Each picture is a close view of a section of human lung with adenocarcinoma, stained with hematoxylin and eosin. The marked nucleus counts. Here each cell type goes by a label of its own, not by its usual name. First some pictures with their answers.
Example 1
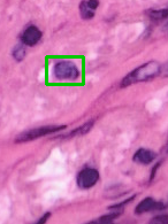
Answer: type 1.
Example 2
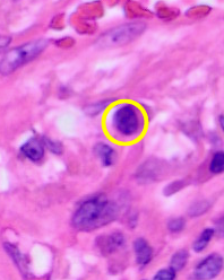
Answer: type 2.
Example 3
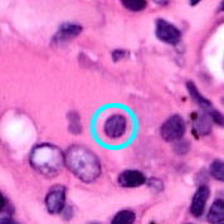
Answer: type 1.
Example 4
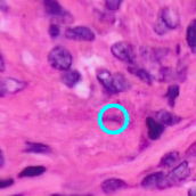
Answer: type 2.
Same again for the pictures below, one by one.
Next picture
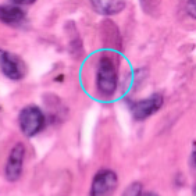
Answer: type 2.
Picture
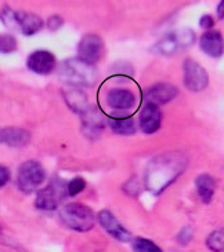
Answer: type 1.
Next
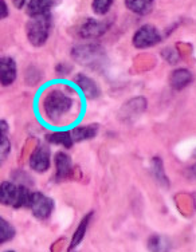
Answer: type 1.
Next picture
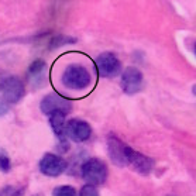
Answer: type 1.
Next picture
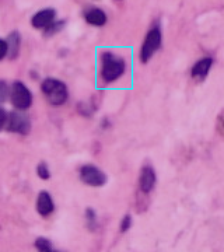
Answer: type 2.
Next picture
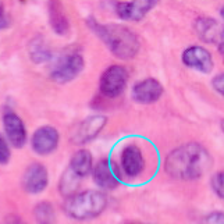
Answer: type 1.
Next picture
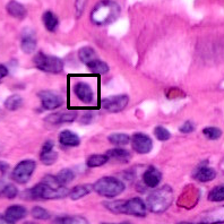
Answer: type 1.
